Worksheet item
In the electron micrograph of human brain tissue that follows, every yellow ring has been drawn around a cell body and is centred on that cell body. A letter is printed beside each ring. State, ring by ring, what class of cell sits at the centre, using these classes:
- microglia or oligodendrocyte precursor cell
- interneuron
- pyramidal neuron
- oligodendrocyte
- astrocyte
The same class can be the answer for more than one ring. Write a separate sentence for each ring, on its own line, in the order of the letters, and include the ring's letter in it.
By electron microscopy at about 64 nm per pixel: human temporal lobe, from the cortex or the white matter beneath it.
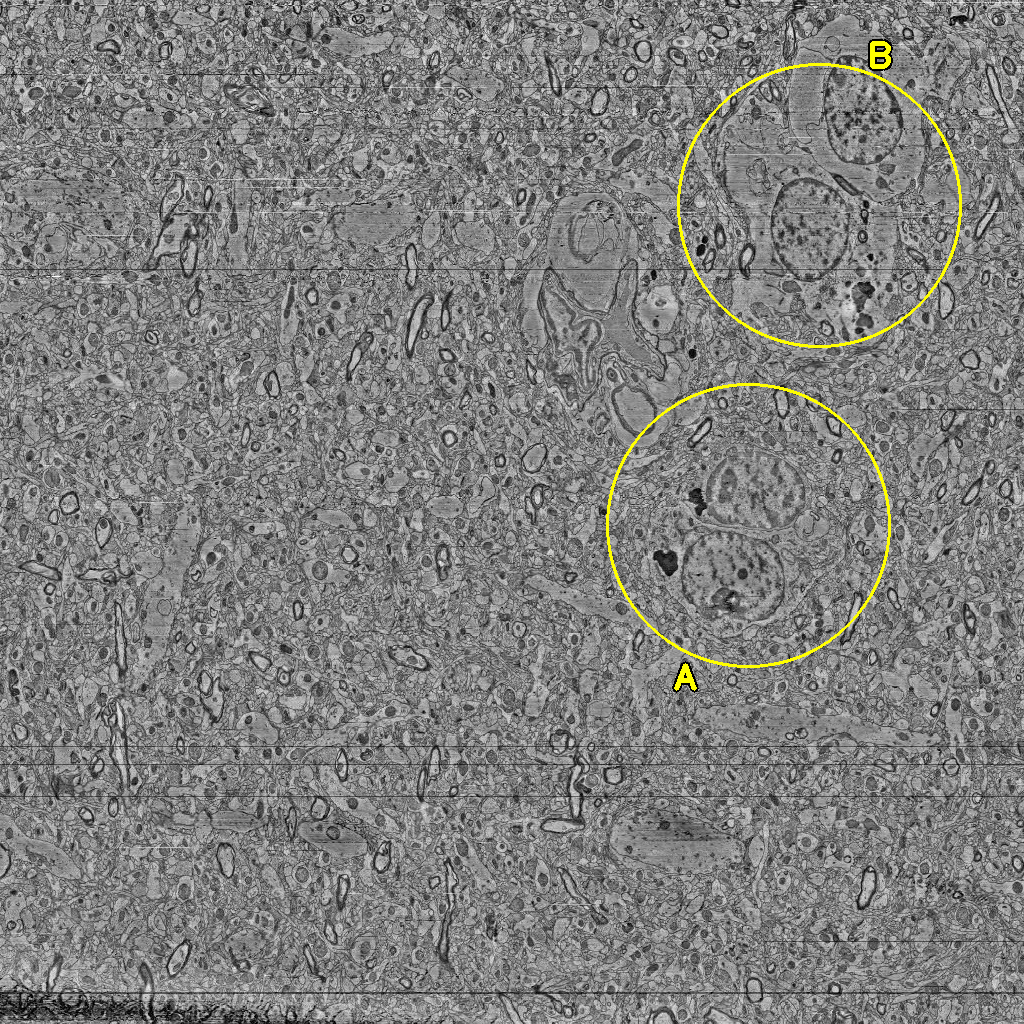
At the centre of ring A sits an oligodendrocyte.
At the centre of ring B sits an astrocyte.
